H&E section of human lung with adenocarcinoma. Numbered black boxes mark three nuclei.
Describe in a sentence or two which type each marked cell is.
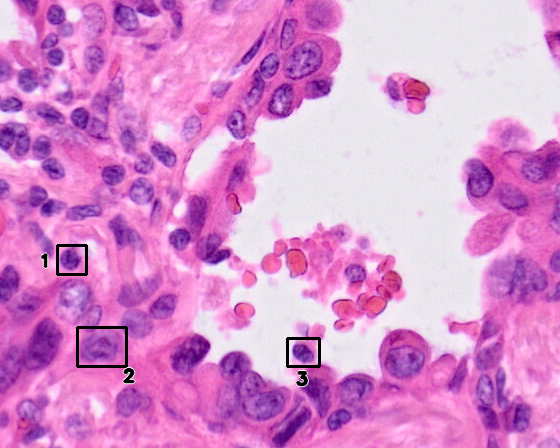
Cells 1 and 3 are lymphocytes. Cell 2 is a carcinoma cell.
